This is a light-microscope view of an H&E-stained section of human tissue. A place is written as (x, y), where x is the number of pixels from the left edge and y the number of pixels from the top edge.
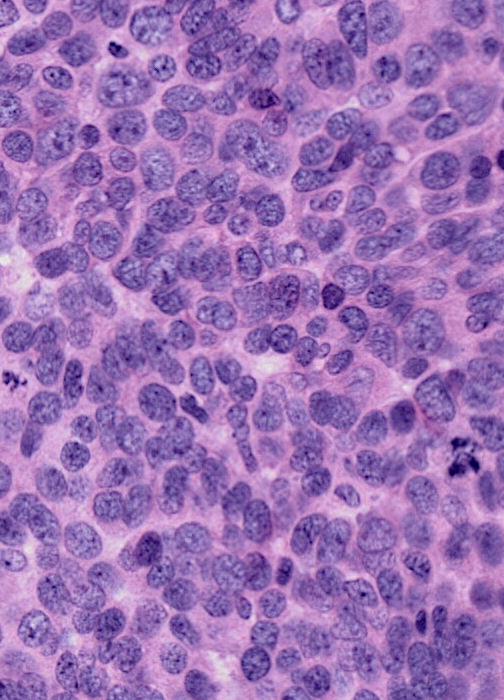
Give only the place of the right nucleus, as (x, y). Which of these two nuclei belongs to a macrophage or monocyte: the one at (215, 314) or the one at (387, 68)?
(387, 68)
